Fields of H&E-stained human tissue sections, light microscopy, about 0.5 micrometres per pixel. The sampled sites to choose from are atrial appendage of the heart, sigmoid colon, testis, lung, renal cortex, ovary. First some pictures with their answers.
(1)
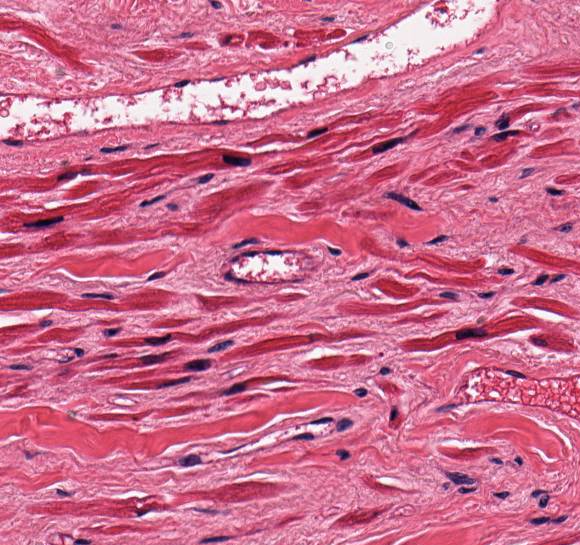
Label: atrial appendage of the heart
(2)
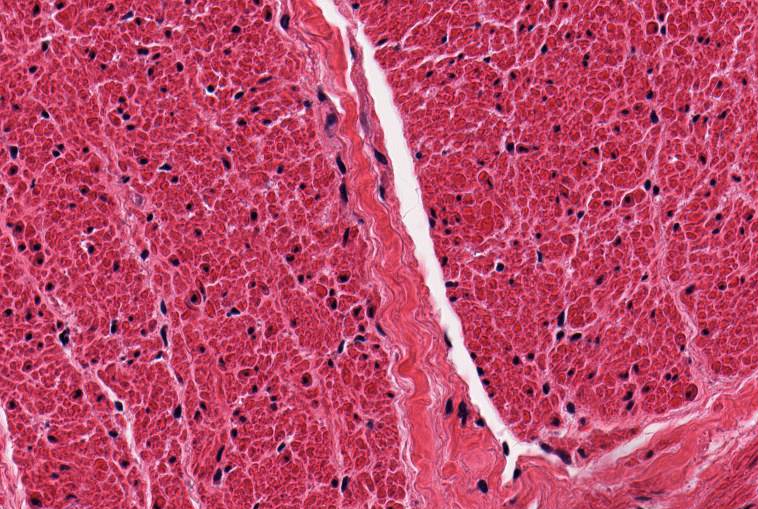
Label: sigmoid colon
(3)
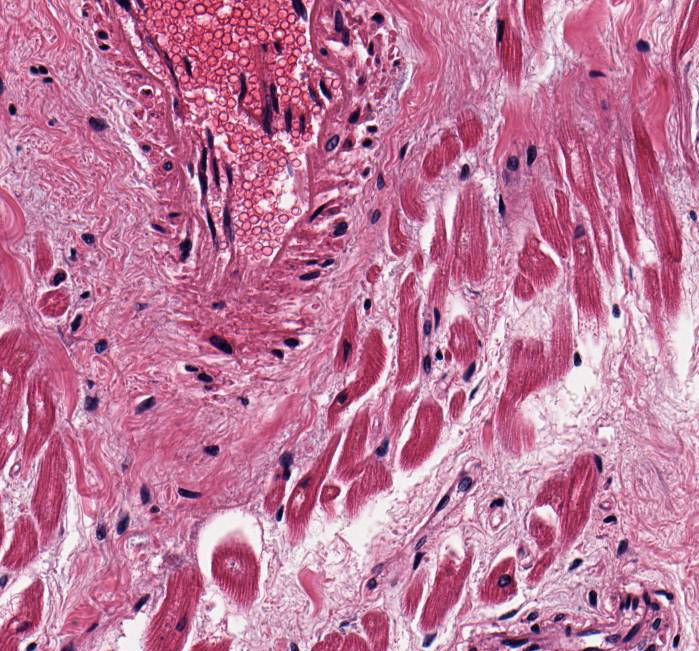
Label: atrial appendage of the heart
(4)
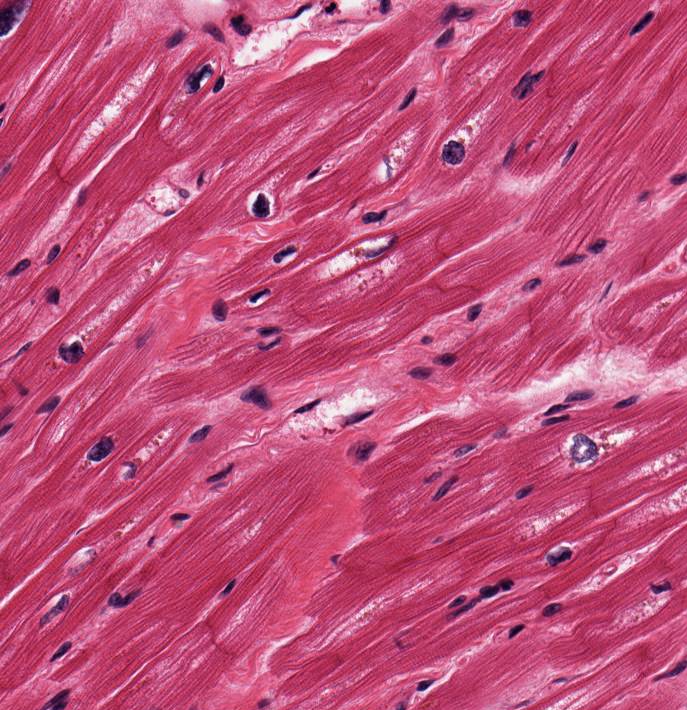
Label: atrial appendage of the heart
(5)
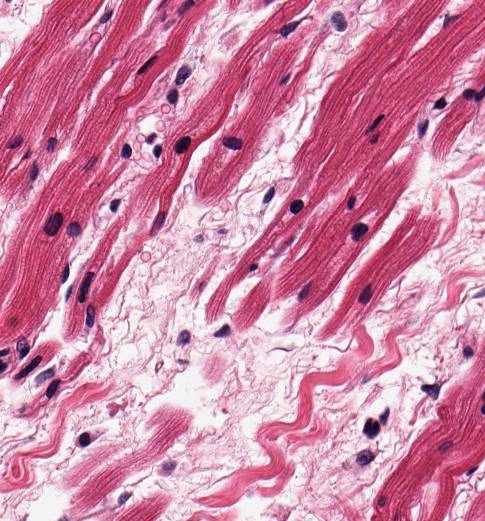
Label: atrial appendage of the heart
